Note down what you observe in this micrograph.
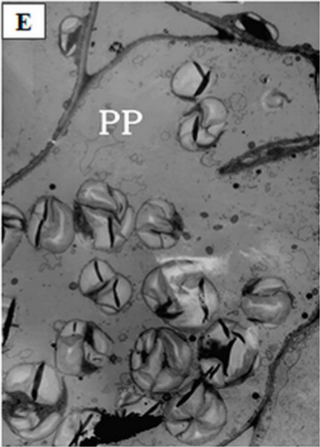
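More than a dozen large, rounded grains cluster in the lower and central part of the cell, each pale with dark, cracked, fold-like lines across it, some with a thin surrounding membrane. The rest of the cell is a smooth, moderately grey ground with little visible organelle detail. Thin cell walls bound the cell at top and right, with a few small dark granules along them. A dark elongated fragment lies near the right margin.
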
